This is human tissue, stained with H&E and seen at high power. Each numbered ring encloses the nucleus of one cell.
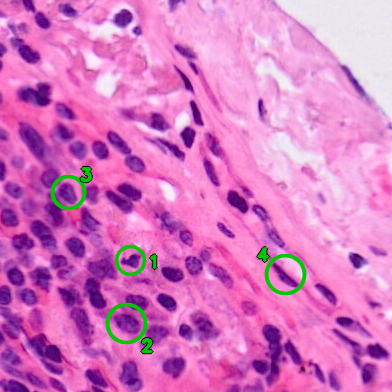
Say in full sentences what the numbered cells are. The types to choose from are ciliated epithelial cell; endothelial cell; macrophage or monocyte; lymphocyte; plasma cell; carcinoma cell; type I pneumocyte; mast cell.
Cell 1 is a lymphocyte, cell 2 is a plasma cell, cell 3 is a lymphocyte and cell 4 is an endothelial cell.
